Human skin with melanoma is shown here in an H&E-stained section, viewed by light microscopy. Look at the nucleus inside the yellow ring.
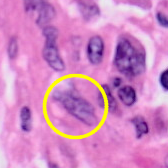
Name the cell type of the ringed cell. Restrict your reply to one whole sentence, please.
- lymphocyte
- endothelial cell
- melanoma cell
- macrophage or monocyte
Placed in its cell category, the ringed cell is an endothelial cell.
